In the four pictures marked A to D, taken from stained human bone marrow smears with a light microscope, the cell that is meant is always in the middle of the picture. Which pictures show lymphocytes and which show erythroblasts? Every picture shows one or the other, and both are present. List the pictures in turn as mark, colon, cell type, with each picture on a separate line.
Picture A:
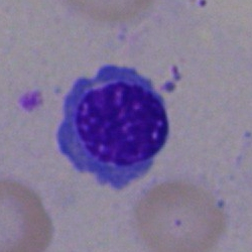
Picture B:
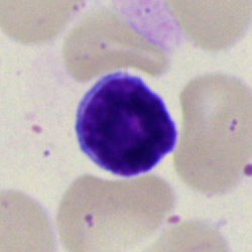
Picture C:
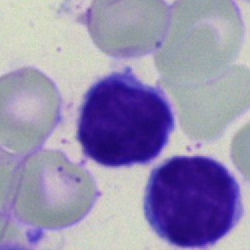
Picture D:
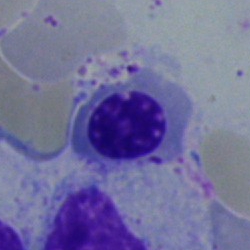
A: erythroblast
B: lymphocyte
C: lymphocyte
D: erythroblast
